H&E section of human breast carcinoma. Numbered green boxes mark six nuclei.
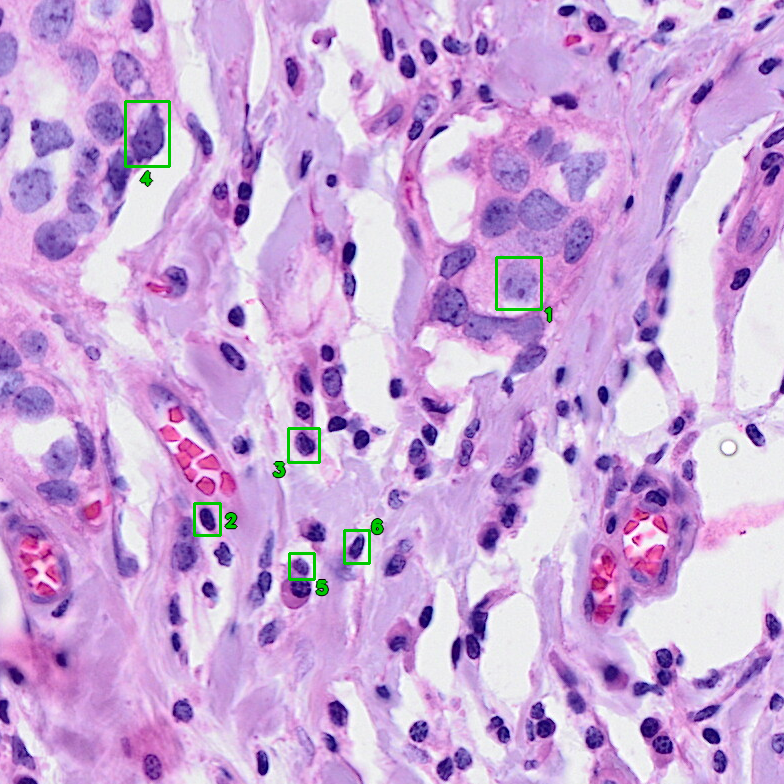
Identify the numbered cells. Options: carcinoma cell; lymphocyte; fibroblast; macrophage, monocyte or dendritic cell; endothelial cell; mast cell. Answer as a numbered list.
1. carcinoma cell
2. lymphocyte
3. lymphocyte
4. carcinoma cell
5. lymphocyte
6. lymphocyte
